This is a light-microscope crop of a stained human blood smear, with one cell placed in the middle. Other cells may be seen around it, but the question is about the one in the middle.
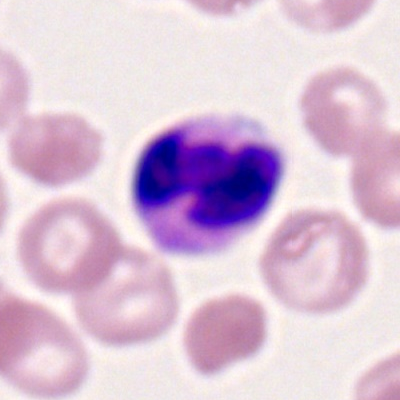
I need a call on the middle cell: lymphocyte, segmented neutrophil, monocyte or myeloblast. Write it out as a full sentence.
The cell centered in this field of view is a segmented neutrophil.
